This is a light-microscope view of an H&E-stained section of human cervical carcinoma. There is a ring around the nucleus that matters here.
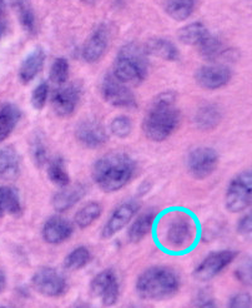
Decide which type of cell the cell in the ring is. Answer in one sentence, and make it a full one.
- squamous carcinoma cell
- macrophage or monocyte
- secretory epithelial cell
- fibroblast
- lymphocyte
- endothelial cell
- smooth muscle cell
Cell type answer for this item: the cell in the ring is a squamous carcinoma cell.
